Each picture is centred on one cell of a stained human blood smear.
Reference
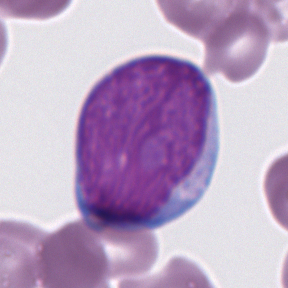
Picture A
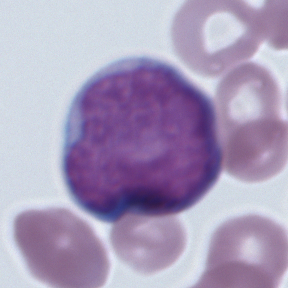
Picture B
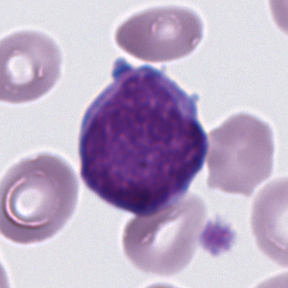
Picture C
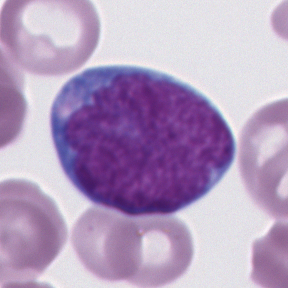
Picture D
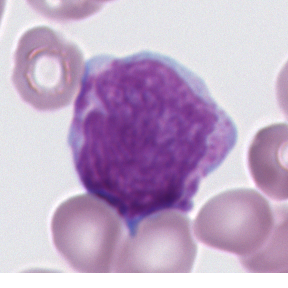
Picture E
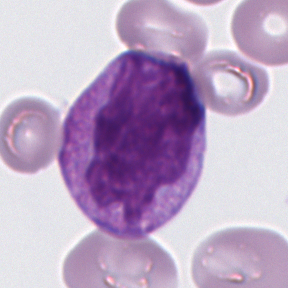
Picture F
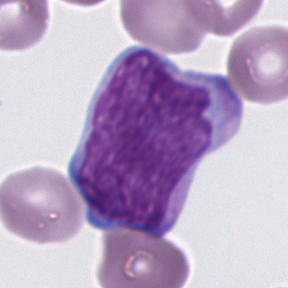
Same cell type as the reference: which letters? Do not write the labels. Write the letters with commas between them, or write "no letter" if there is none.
A, B, C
